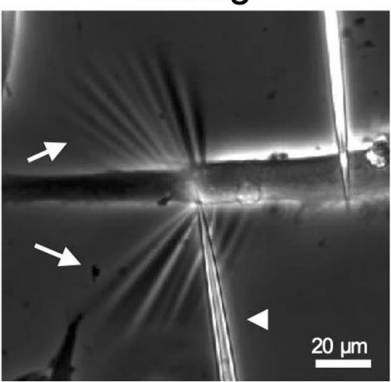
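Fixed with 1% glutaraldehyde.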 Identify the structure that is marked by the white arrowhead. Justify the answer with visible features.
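Needle. A long, straight, tapering bright-edged rod runs diagonally up to the horizontal band. Its tip ends at the point where the radiating lines converge.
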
